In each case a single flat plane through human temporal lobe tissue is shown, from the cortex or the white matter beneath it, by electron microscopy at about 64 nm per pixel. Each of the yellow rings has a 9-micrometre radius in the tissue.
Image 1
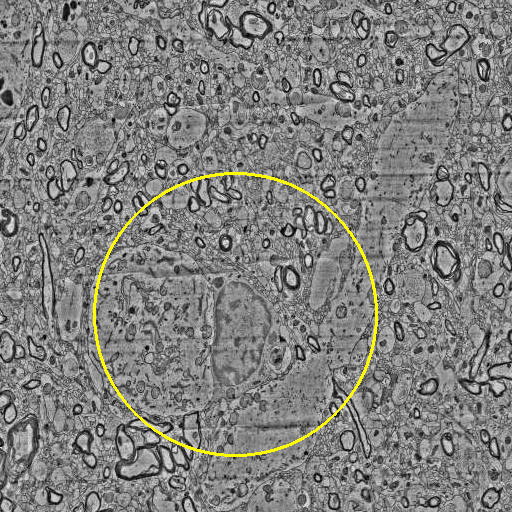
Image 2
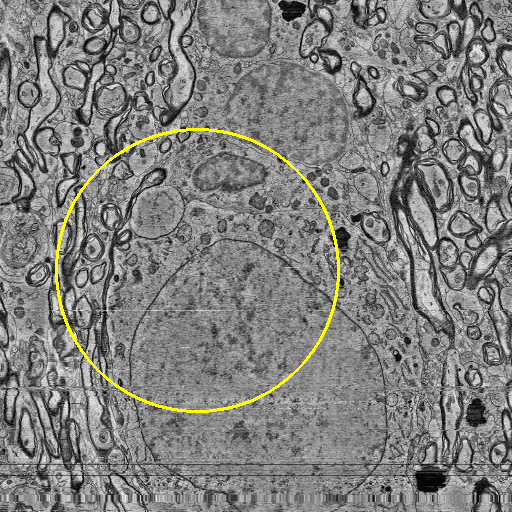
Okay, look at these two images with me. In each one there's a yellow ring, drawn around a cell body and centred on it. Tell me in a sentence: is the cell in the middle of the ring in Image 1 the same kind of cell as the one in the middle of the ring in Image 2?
No, they're two kinds of cell.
